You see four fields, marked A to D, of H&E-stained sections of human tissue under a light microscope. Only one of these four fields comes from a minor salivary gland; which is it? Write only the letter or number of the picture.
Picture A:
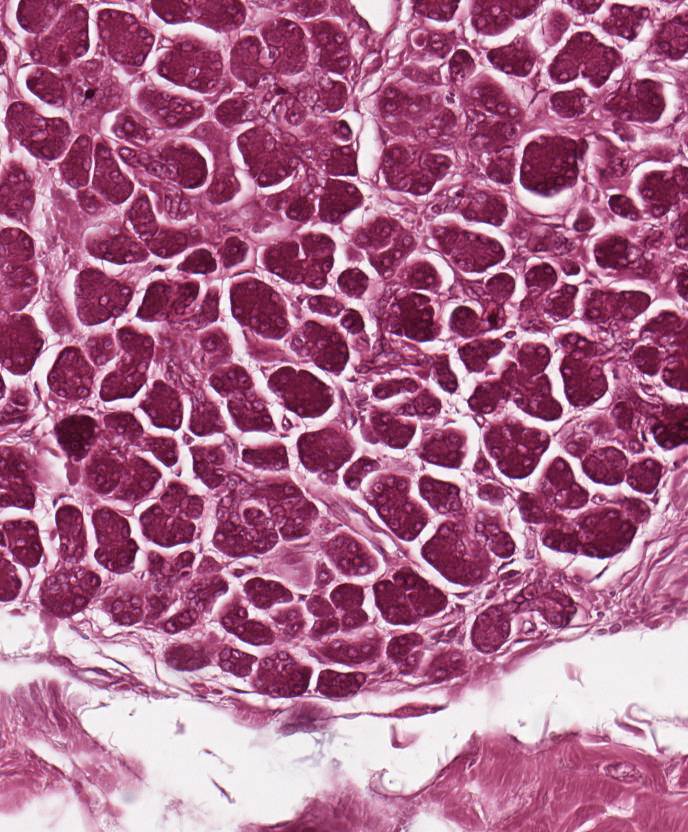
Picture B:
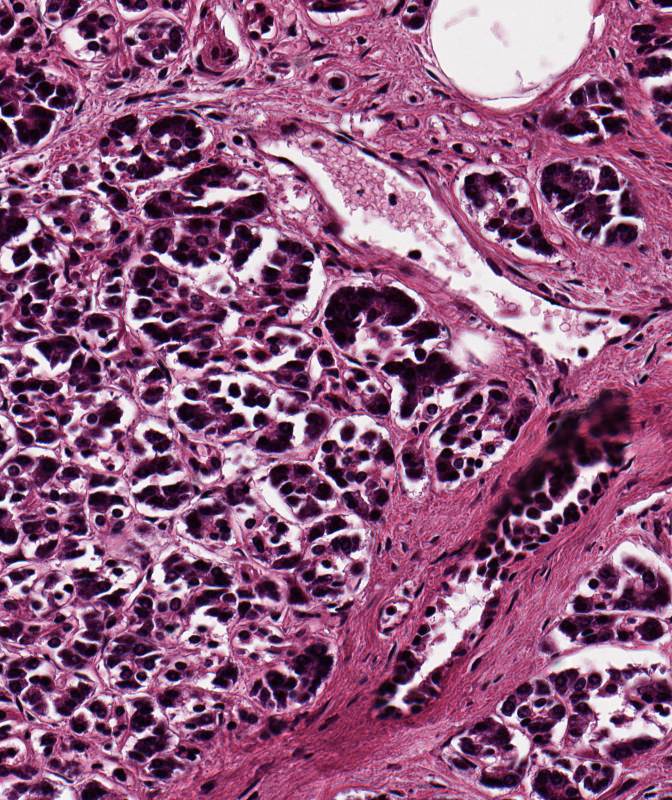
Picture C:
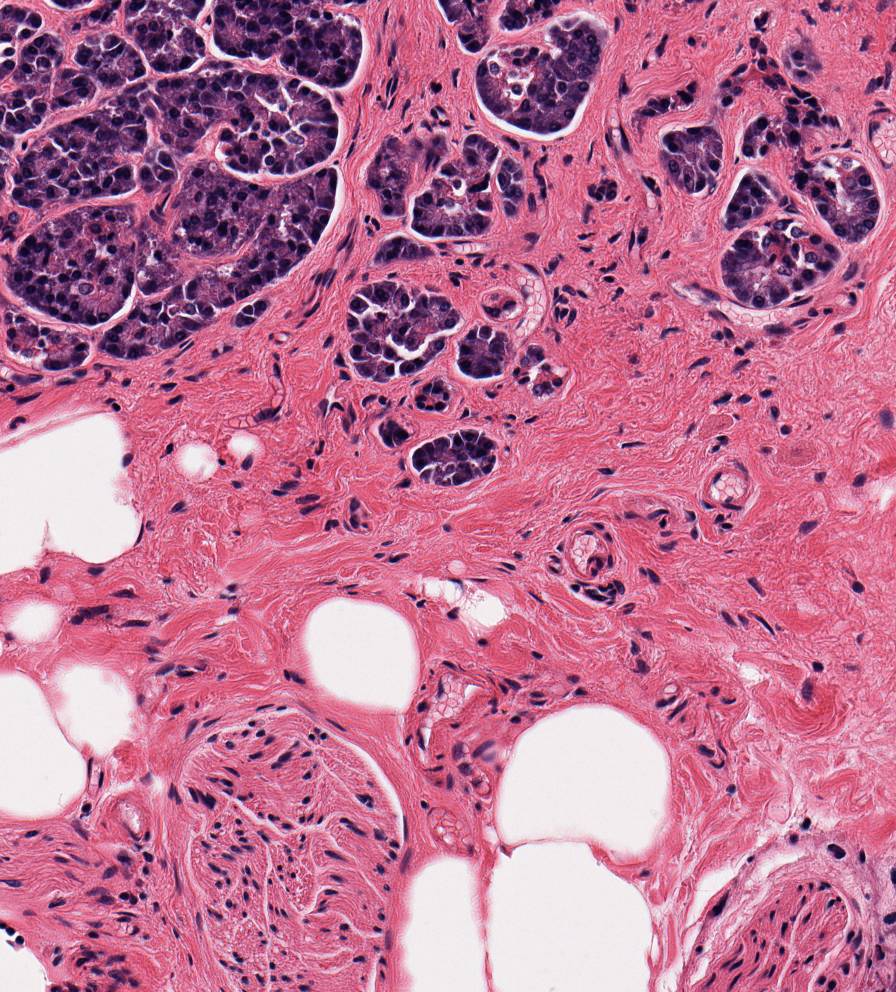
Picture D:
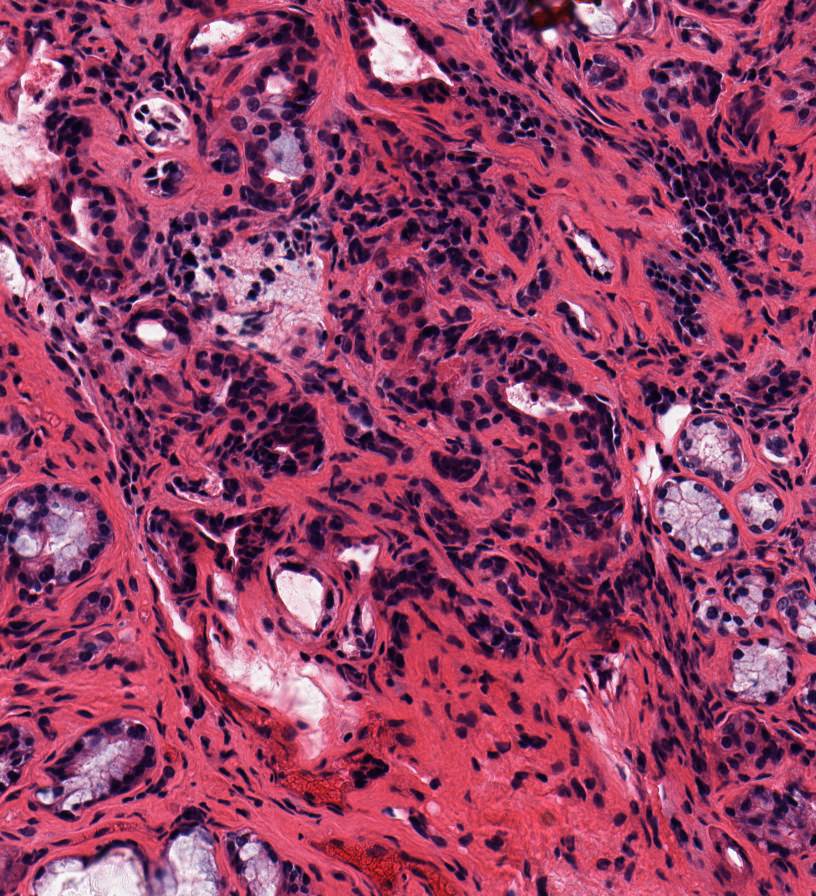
D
